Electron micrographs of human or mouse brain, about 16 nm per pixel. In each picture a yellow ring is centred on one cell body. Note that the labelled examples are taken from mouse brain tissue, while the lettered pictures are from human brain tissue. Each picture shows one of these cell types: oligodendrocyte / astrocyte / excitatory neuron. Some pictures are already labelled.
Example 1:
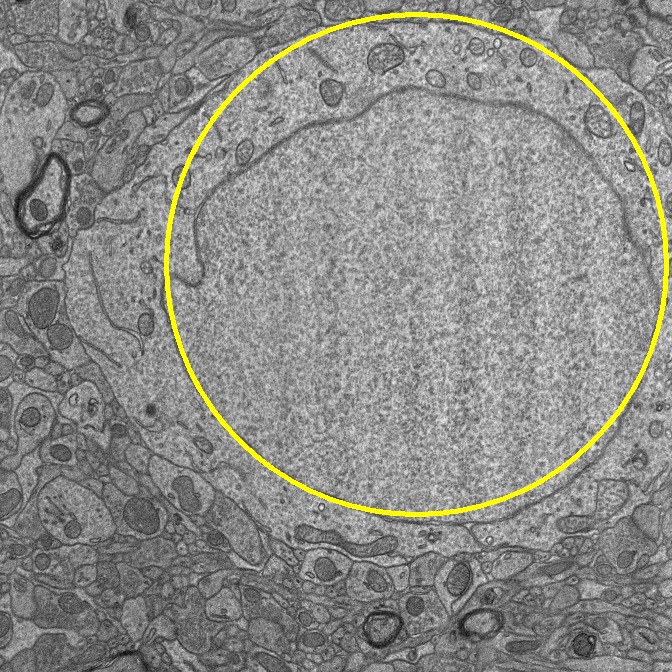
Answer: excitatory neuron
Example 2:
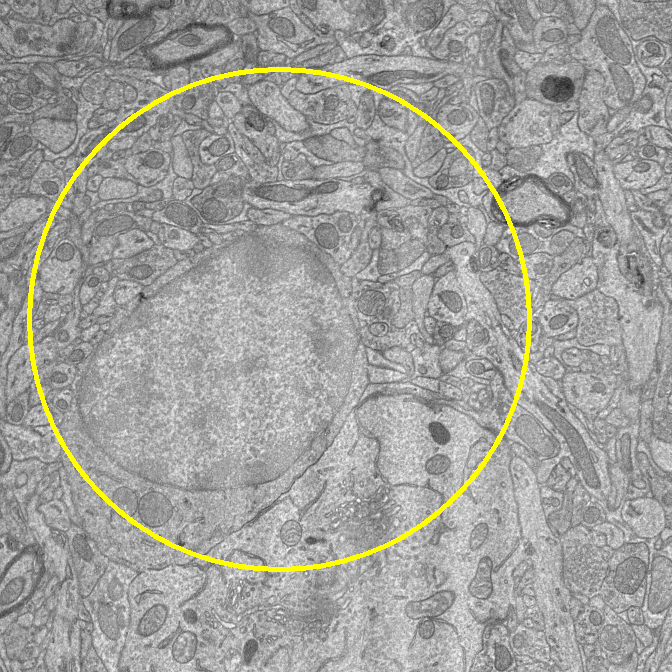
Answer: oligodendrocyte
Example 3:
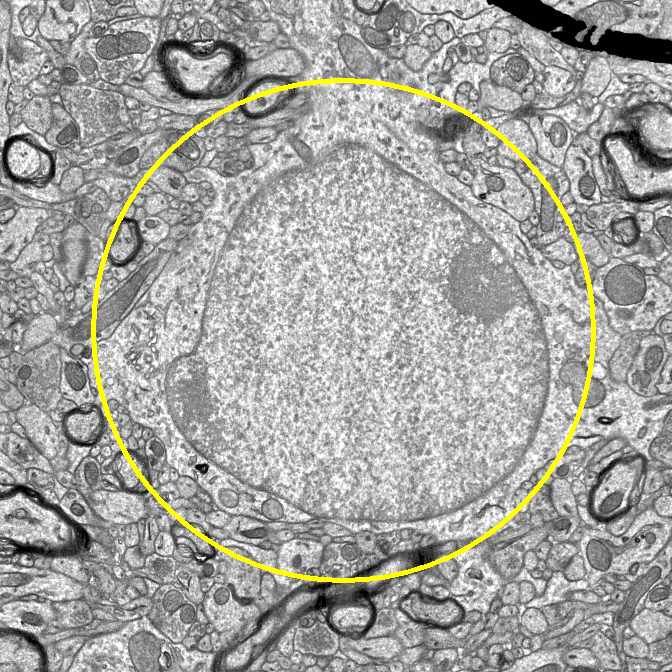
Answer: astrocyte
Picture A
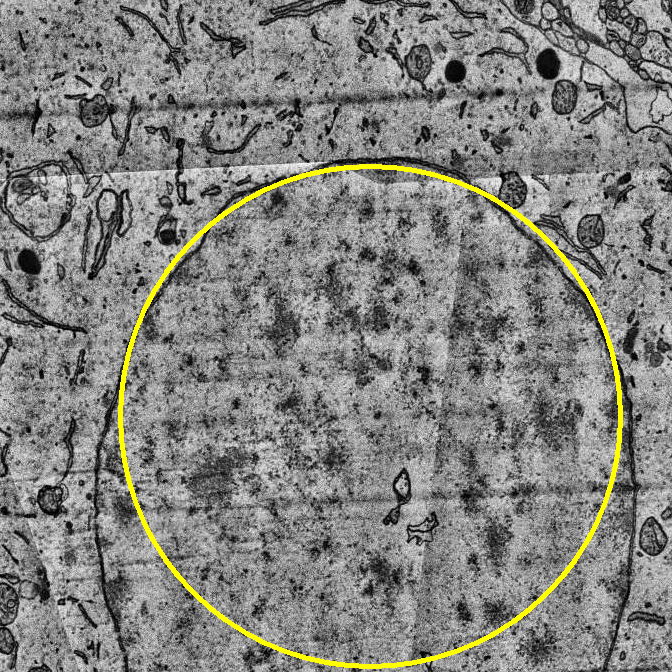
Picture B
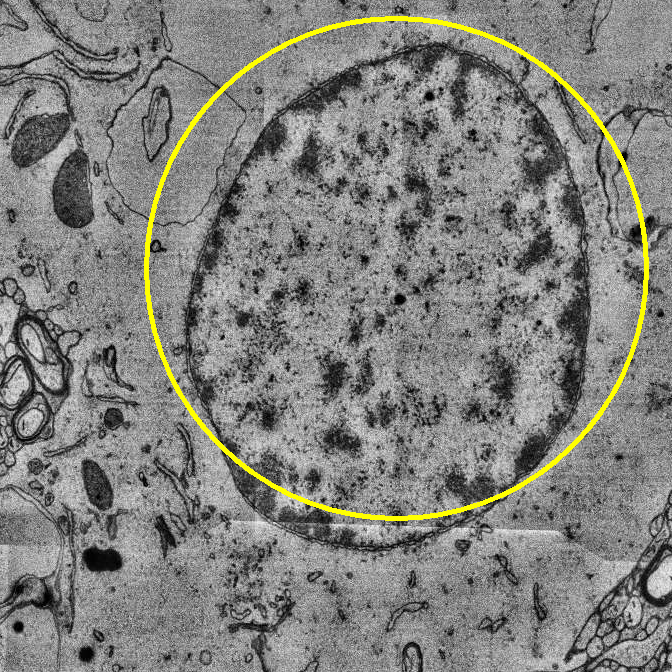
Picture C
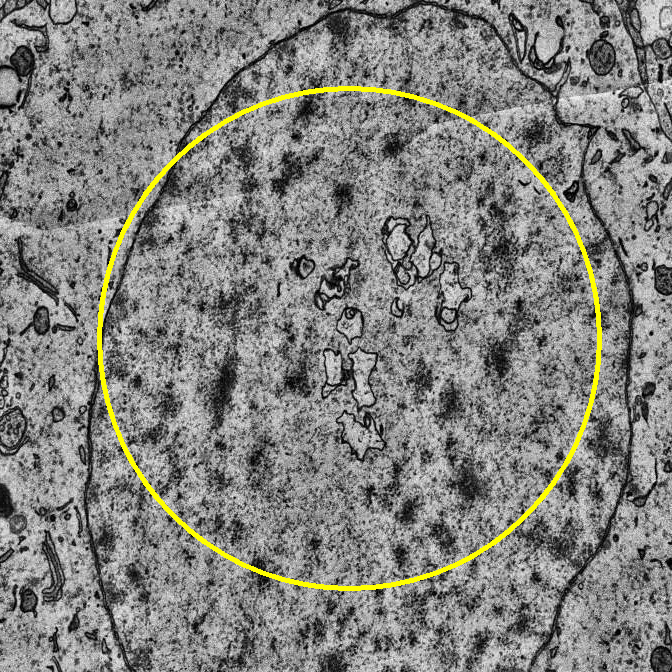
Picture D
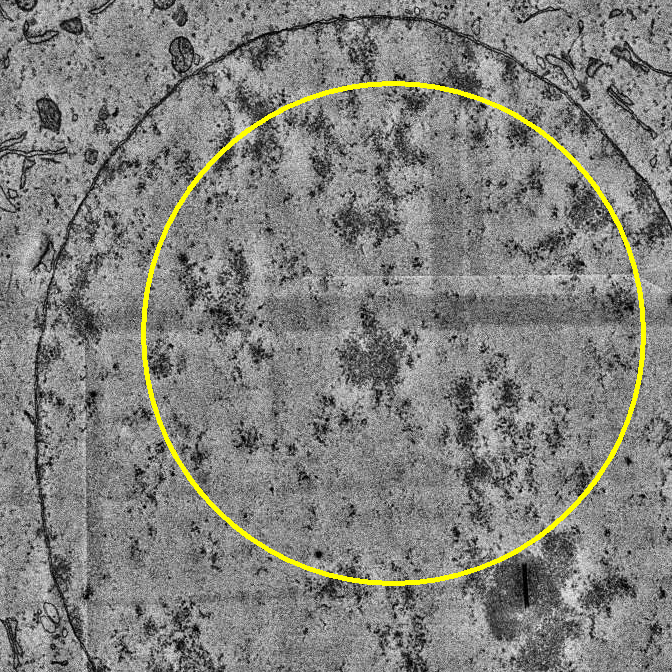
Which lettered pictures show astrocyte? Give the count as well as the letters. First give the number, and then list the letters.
Count: 1 (B)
